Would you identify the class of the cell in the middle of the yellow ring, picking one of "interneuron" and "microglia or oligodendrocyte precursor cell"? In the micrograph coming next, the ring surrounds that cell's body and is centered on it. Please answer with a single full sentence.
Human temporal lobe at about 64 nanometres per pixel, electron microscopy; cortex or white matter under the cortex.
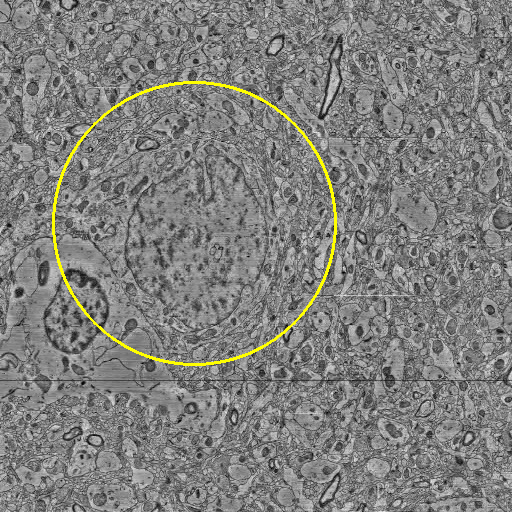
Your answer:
In the micrograph, it is an interneuron whose body lies at the ring's center.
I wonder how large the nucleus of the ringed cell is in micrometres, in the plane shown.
In this plane the nucleus spans approximately 12 by 9 micrometers.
